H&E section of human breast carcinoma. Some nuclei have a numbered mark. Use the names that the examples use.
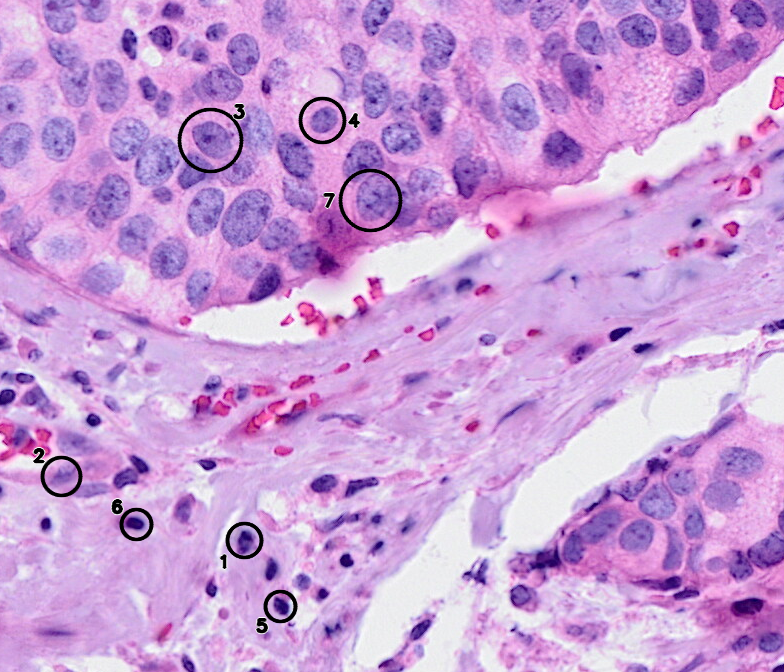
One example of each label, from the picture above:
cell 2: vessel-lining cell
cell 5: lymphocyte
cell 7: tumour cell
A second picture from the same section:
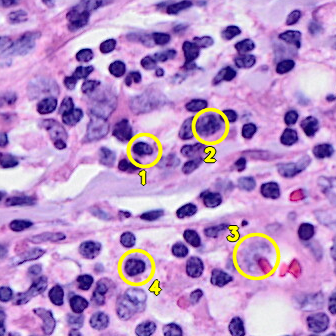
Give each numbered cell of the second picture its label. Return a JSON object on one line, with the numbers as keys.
{"1": "lymphocyte", "2": "lymphocyte", "3": "vessel-lining cell", "4": "lymphocyte"}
